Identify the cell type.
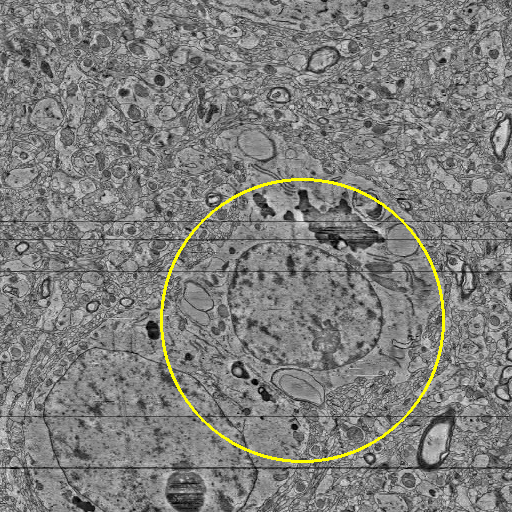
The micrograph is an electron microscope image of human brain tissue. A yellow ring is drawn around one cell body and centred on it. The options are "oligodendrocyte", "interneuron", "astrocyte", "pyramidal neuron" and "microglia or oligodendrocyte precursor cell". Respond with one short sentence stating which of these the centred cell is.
The cell body in the ring belongs to an astrocyte.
